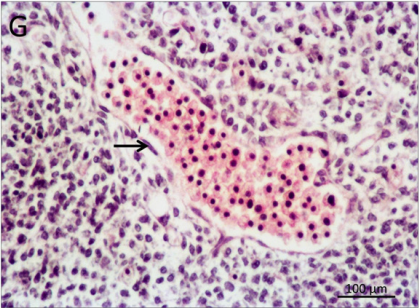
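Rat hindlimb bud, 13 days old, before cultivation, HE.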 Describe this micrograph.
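The vessel is a thin-walled channel lined by flat cells, and its lumen is crowded with blood cells that stain pink-red and each still carry a dark round nucleus. Around it the mesenchyme is dense, made of small cells with dark oval nuclei and scant cytoplasm, packed without any clear orientation. A narrow pale gap separates the vessel wall from the surrounding cells in places.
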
